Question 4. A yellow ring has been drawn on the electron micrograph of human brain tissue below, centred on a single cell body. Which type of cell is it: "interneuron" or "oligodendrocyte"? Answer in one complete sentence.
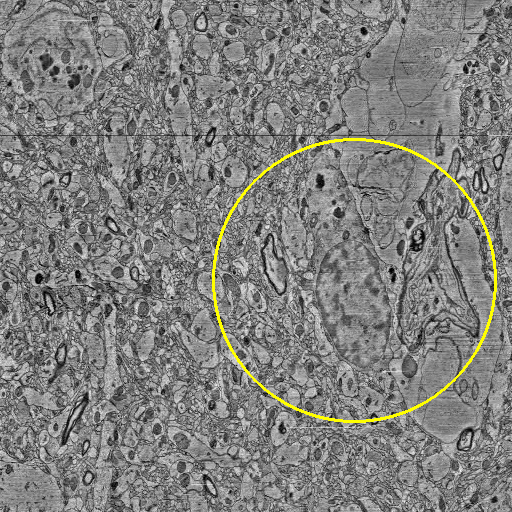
This cell body belongs to an oligodendrocyte.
